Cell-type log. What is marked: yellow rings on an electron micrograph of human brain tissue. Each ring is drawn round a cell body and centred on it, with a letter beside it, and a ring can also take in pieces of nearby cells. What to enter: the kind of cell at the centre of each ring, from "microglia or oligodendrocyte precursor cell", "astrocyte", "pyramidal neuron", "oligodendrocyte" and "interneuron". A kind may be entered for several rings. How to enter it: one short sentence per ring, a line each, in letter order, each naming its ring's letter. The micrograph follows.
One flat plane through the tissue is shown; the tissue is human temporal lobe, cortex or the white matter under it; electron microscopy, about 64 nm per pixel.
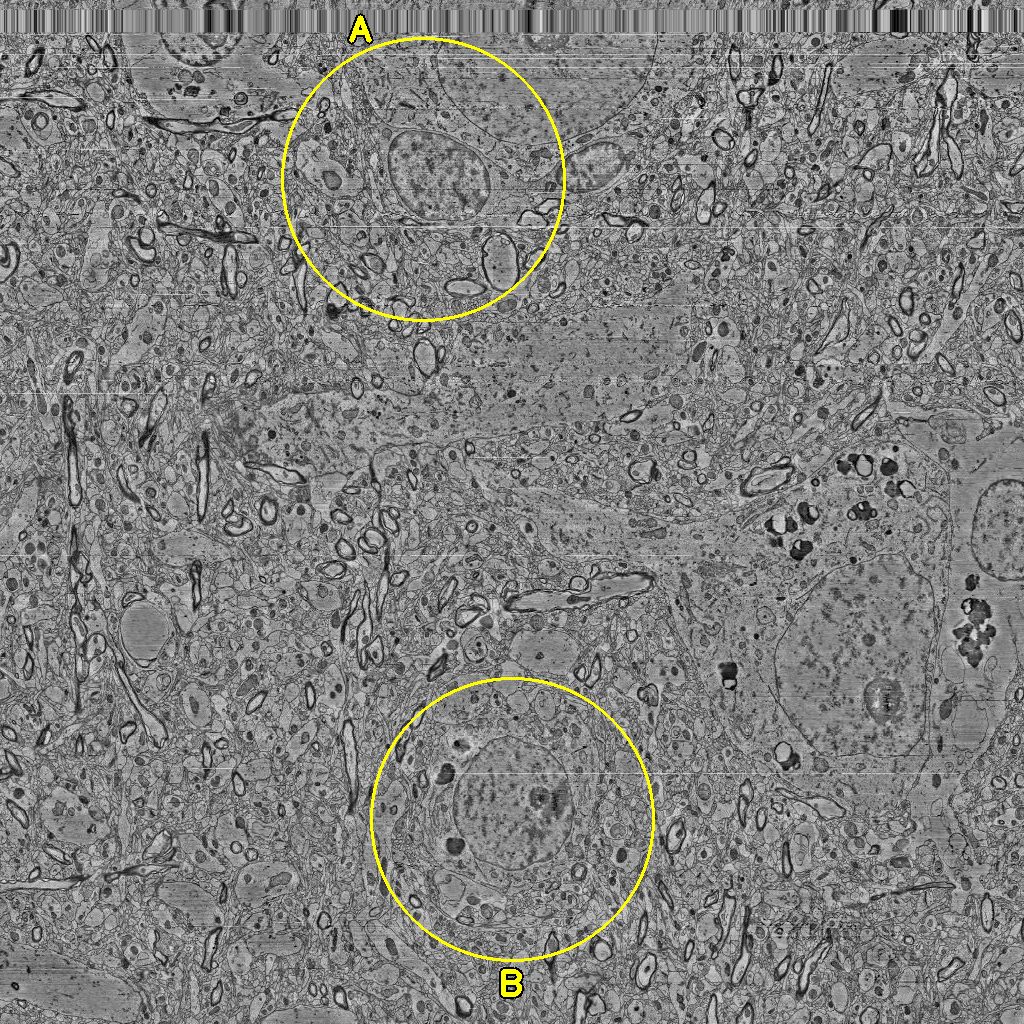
For ring A, the centre cell is an oligodendrocyte.
For ring B, the centre cell is an interneuron.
